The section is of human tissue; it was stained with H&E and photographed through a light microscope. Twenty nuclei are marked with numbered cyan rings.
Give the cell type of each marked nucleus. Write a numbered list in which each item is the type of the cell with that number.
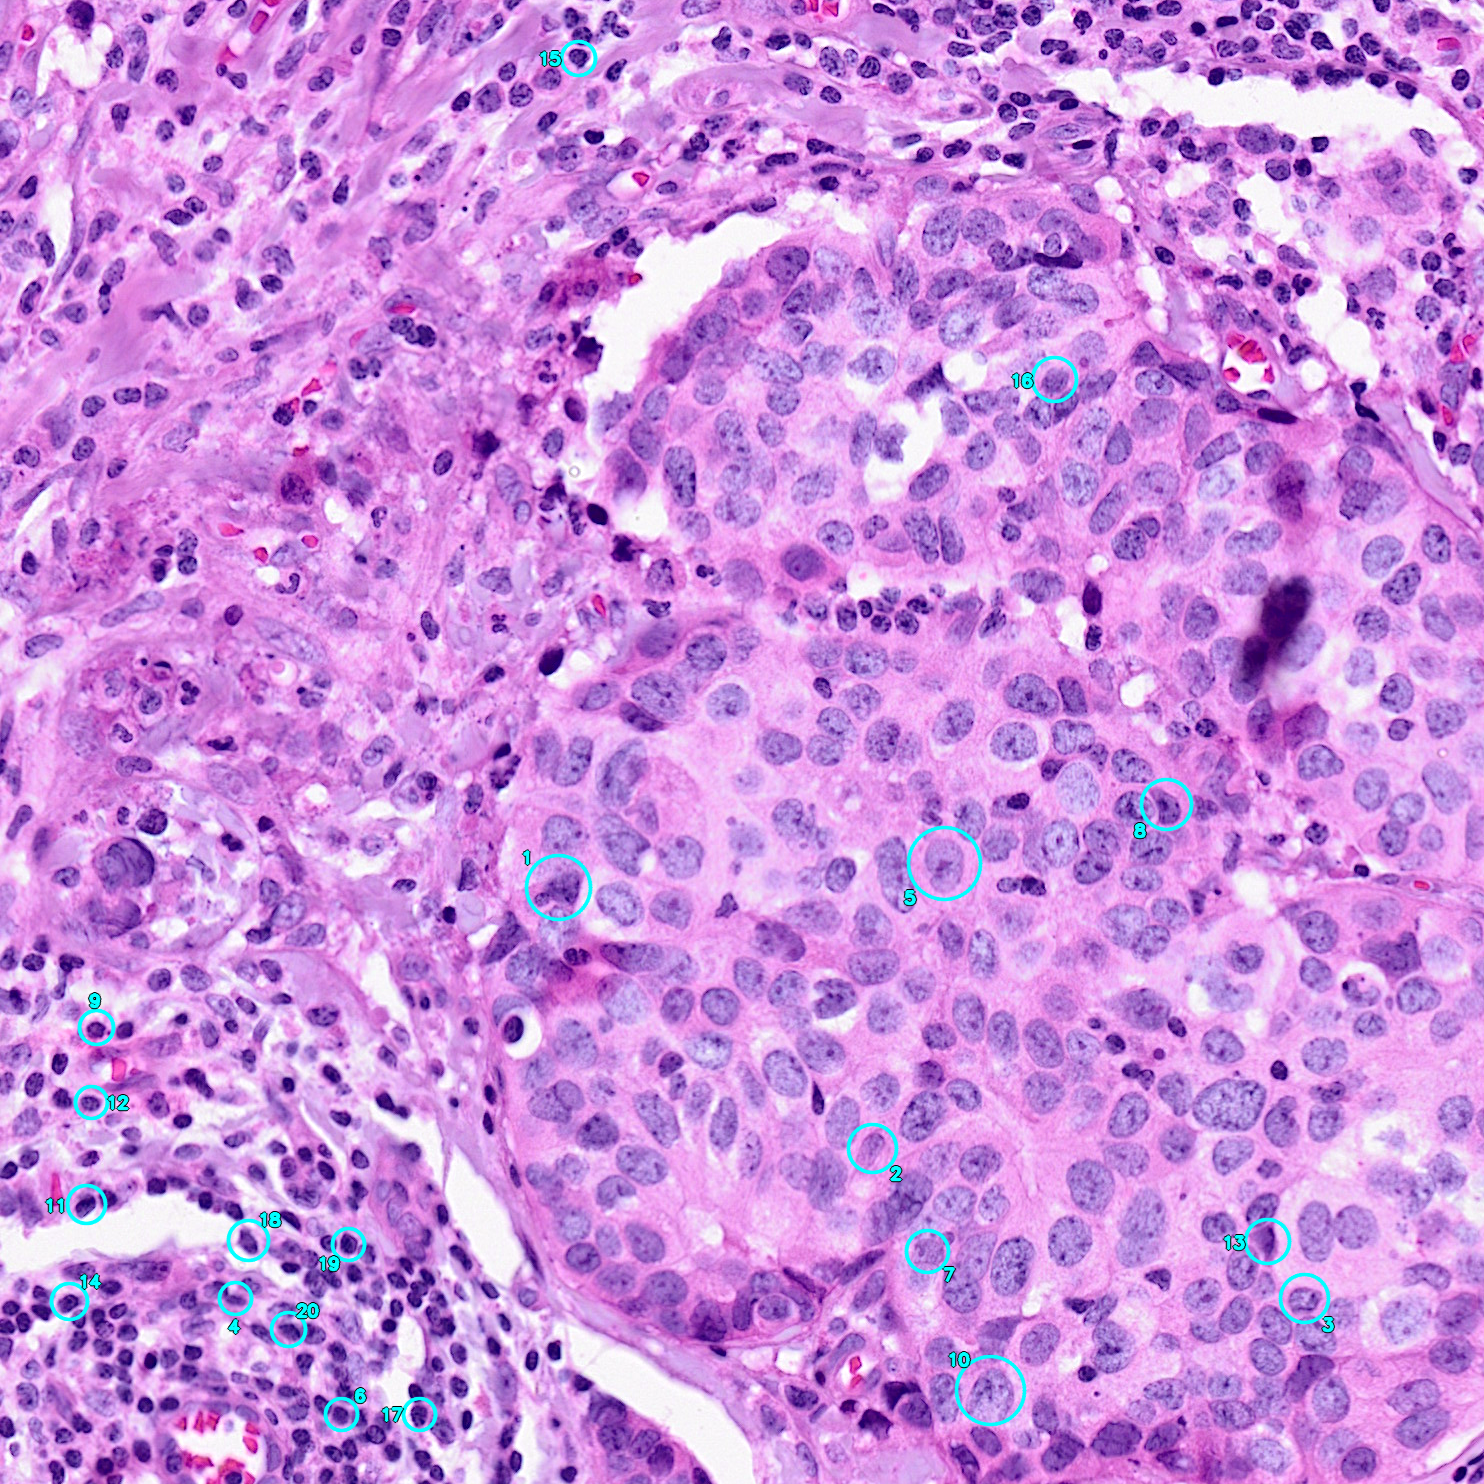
1. carcinoma cell
2. carcinoma cell
3. carcinoma cell
4. lymphocyte
5. carcinoma cell
6. lymphocyte
7. carcinoma cell
8. carcinoma cell
9. lymphocyte
10. carcinoma cell
11. lymphocyte
12. lymphocyte
13. carcinoma cell
14. lymphocyte
15. lymphocyte
16. carcinoma cell
17. lymphocyte
18. lymphocyte
19. lymphocyte
20. lymphocyte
